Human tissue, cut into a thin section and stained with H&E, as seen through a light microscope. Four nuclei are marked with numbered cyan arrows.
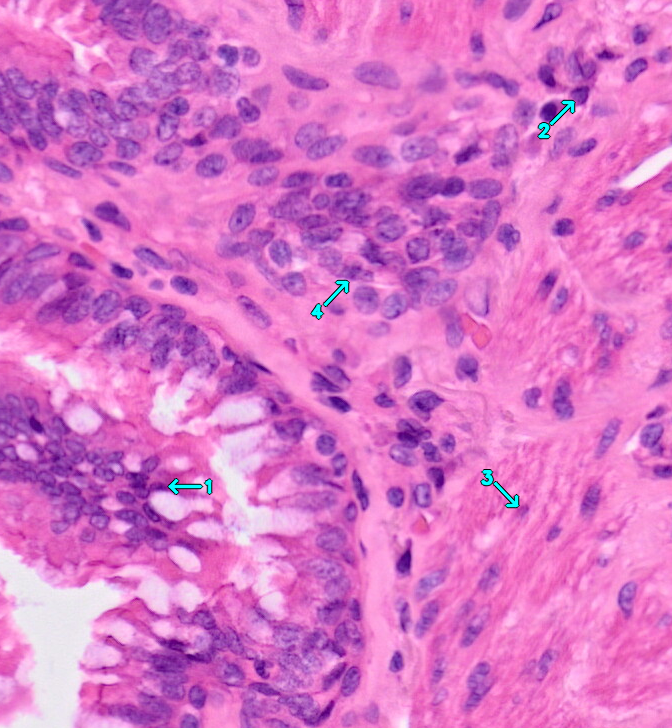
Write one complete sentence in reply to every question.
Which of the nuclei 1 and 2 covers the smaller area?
The smaller nucleus is 1, and 2 covers roughly 2 times its area.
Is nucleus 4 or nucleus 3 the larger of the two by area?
Nucleus 4 is larger, with an area about 2.5 times that of nucleus 3.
